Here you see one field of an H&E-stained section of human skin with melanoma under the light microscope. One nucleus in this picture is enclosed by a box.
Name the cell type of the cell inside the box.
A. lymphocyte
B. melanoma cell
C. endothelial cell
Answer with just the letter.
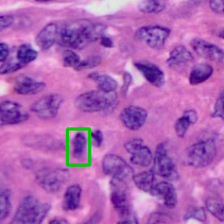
A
